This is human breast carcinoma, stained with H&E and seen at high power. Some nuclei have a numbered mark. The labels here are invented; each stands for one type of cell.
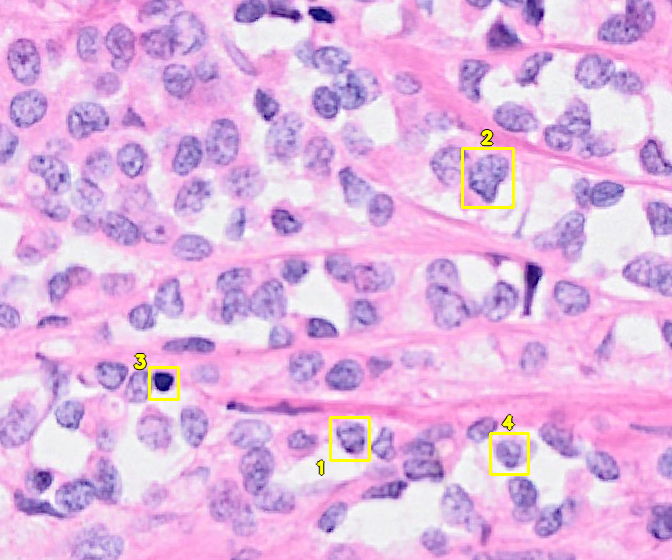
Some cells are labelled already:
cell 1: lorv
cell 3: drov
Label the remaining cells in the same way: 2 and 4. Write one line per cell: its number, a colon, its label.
2: lorv
4: lorv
